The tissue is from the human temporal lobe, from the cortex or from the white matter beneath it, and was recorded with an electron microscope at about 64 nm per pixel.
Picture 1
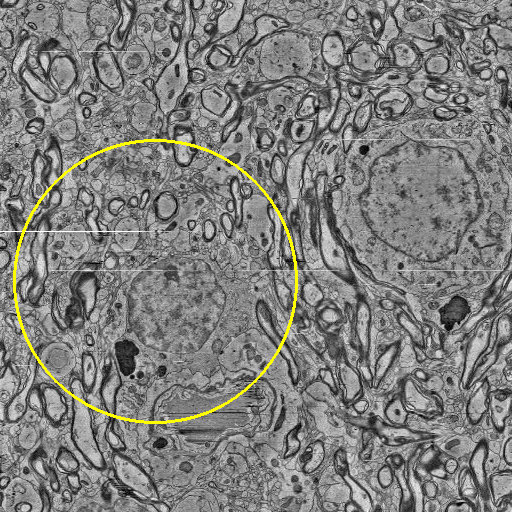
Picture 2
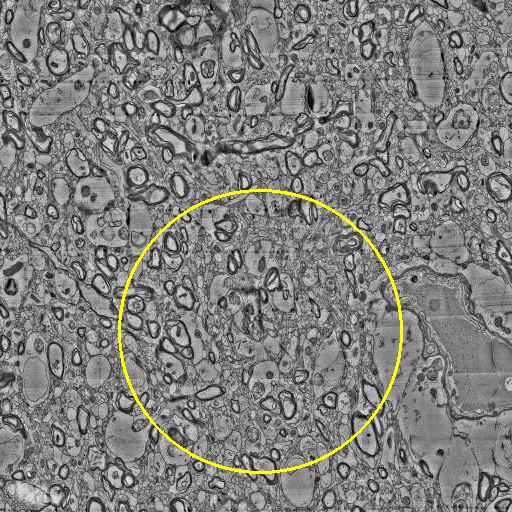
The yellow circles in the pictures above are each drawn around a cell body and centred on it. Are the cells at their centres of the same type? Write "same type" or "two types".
two types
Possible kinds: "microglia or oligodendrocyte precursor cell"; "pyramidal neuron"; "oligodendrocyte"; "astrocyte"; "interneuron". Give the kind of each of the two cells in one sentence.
The cell in the second picture is a microglial cell or oligodendrocyte precursor cell, and that in the first is an oligodendrocyte.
